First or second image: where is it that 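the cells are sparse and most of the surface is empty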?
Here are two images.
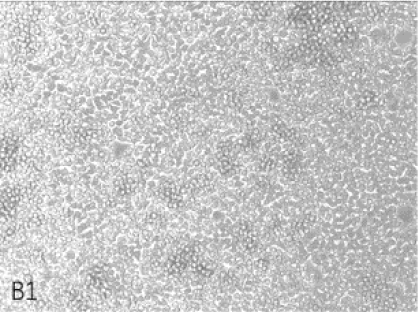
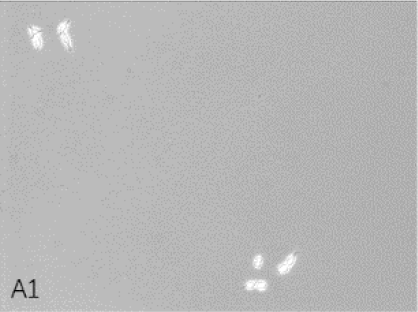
The second image.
